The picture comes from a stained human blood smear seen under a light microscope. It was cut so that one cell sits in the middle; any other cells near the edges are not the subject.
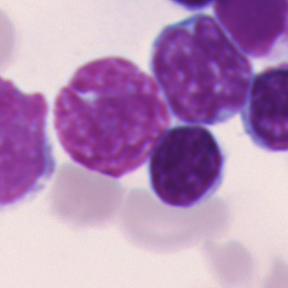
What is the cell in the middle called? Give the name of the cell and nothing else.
blast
